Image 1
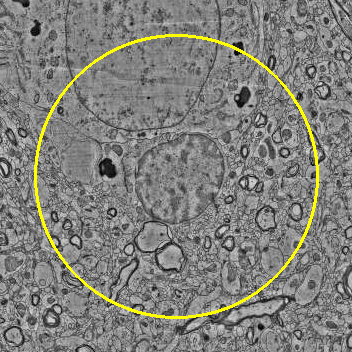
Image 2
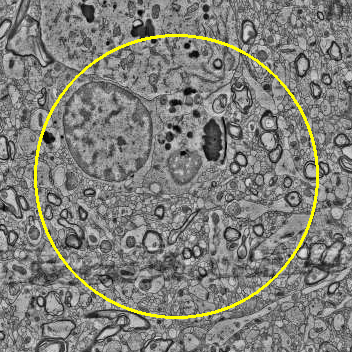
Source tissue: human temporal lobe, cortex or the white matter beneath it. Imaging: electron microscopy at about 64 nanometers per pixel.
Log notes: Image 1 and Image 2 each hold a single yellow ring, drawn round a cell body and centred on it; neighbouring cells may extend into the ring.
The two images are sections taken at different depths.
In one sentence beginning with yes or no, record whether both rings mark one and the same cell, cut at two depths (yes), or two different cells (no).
Yes, the cell inside the first ring is the cell inside the second.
